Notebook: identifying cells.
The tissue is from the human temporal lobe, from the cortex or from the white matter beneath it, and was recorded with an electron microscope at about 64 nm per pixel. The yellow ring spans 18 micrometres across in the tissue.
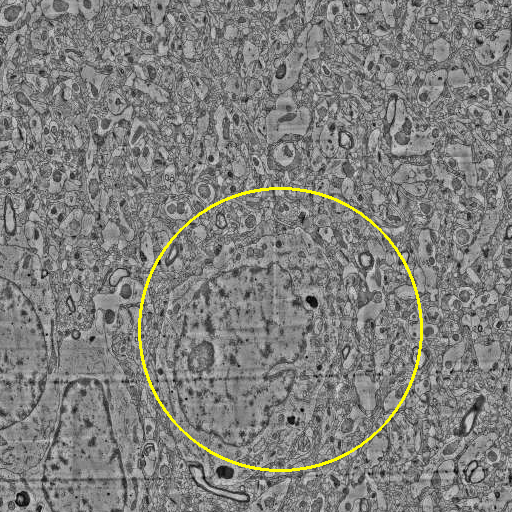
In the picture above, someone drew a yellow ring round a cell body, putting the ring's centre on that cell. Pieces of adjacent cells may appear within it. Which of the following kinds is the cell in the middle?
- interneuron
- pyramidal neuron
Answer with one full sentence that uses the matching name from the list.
In this picture, the yellow ring is centred on the body of an interneuron.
